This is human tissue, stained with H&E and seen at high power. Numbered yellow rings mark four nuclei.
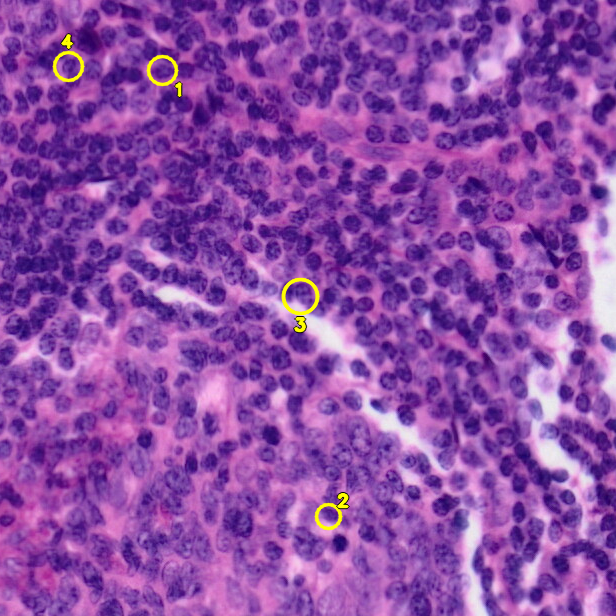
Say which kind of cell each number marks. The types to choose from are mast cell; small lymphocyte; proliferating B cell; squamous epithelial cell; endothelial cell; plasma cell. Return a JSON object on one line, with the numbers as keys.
{"1": "small lymphocyte", "2": "proliferating B cell", "3": "small lymphocyte", "4": "small lymphocyte"}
